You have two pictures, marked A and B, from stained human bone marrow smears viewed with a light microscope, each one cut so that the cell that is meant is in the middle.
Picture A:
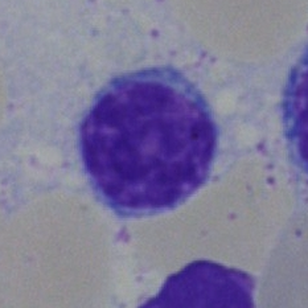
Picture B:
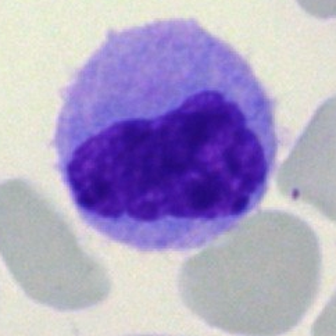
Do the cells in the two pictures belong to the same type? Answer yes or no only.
no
